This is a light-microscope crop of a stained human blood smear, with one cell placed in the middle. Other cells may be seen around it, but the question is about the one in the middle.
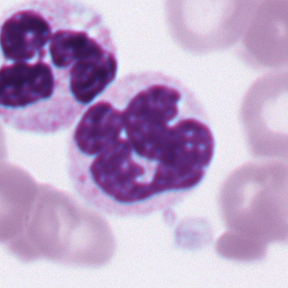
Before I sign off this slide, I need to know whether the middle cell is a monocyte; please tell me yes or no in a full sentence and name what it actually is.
No, that would be a segmented neutrophil, not a monocyte, for the cell at the centre.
